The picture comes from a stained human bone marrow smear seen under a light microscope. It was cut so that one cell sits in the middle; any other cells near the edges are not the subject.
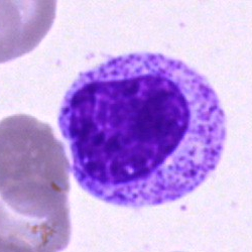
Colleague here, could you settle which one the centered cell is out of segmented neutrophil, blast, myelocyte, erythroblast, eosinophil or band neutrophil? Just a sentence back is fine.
The middle of this crop holds a myelocyte.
